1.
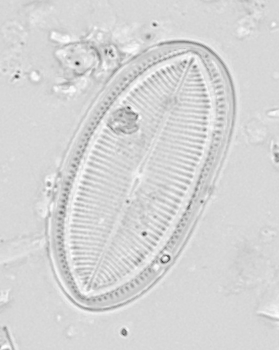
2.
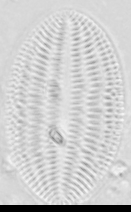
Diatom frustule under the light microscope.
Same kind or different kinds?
Same: Cocconeis.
